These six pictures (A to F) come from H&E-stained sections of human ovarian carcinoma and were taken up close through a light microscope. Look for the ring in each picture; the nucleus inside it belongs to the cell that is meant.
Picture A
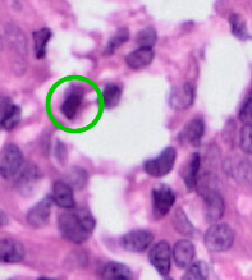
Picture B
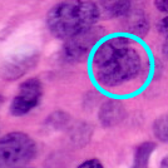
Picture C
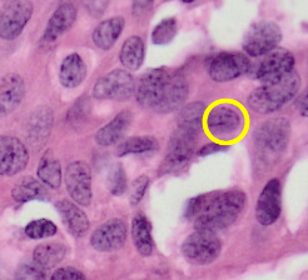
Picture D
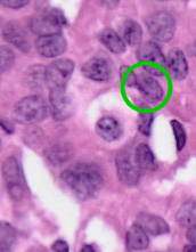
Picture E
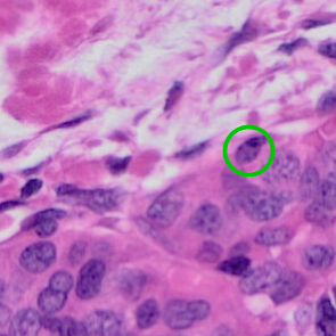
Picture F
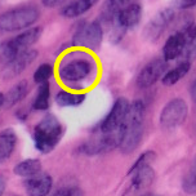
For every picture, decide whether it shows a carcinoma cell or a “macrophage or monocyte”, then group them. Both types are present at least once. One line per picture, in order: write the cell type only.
carcinoma cell
carcinoma cell
carcinoma cell
carcinoma cell
macrophage or monocyte
macrophage or monocyte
